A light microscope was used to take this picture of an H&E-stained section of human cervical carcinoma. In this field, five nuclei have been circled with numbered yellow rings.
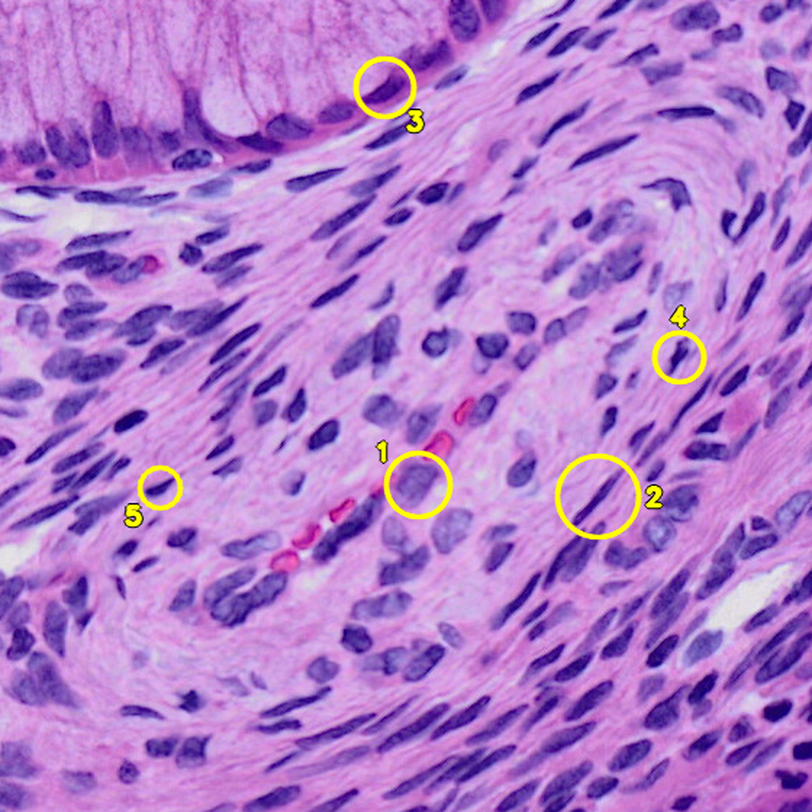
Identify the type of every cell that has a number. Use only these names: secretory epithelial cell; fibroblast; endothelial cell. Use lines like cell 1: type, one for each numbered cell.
cell 1: endothelial cell
cell 2: fibroblast
cell 3: secretory epithelial cell
cell 4: fibroblast
cell 5: fibroblast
